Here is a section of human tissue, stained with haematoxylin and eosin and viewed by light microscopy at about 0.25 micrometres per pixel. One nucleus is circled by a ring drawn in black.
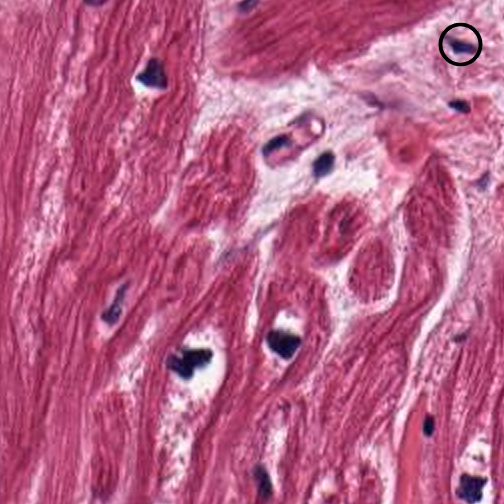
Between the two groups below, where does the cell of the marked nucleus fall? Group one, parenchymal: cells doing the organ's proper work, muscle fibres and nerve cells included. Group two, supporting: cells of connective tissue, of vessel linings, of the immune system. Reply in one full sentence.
The nucleus that is marked belongs to a supporting cell.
